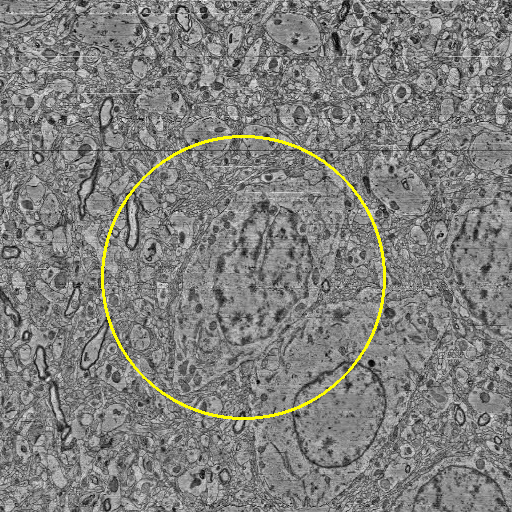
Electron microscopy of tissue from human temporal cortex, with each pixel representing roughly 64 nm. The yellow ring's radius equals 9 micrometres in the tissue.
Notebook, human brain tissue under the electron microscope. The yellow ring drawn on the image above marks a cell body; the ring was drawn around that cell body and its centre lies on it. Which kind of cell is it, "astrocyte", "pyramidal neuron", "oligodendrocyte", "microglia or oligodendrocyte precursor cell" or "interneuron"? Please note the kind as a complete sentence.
The marked cell body is that of an interneuron.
